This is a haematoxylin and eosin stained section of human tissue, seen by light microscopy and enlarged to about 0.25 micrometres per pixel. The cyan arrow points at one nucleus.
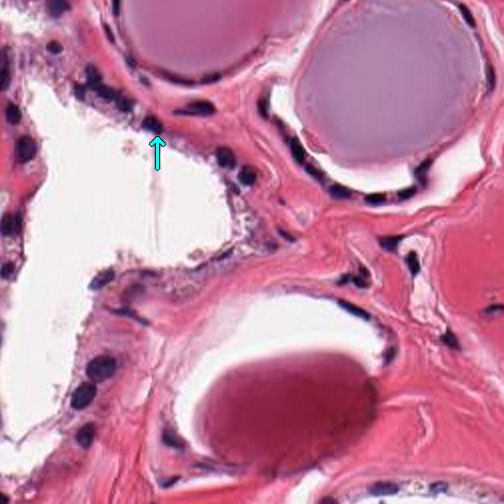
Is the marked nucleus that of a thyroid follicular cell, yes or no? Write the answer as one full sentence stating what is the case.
Yes, the marked nucleus lies within a thyroid follicular cell.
